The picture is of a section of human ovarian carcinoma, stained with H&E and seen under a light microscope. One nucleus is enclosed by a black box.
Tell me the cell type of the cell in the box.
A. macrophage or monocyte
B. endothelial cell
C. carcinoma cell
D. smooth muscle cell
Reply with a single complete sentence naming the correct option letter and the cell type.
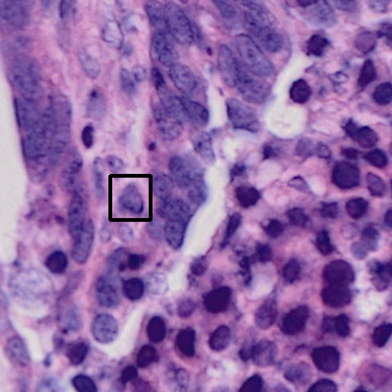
The statement that the cell in the box is a macrophage or monocyte corresponds to option A, the correct one.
